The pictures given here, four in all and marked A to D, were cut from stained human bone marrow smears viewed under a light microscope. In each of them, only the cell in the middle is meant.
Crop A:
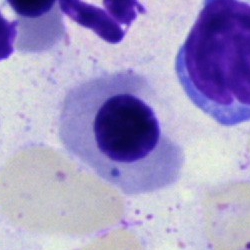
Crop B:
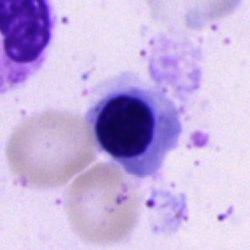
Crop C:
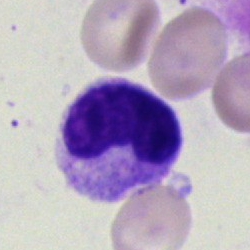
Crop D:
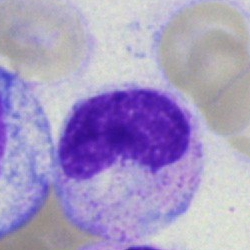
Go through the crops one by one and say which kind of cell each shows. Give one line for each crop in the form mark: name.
A: erythroblast
B: erythroblast
C: band neutrophil
D: band neutrophil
